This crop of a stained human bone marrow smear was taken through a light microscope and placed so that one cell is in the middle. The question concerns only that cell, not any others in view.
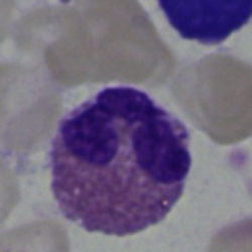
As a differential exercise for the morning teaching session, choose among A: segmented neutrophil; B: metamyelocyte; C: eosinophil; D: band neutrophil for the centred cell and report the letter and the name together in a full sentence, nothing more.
That the central cell is an eosinophil makes option C correct.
